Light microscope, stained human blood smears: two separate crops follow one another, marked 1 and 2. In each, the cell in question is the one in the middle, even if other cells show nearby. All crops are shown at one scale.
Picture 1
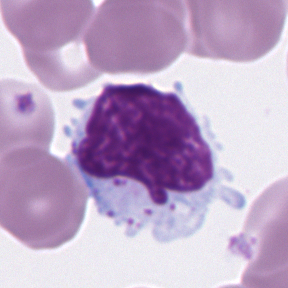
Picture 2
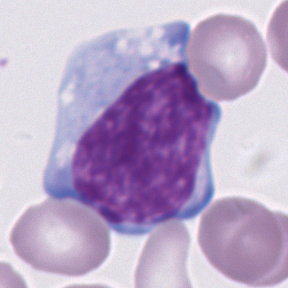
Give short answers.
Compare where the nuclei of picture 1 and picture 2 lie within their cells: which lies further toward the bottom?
2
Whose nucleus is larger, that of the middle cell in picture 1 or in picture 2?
2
